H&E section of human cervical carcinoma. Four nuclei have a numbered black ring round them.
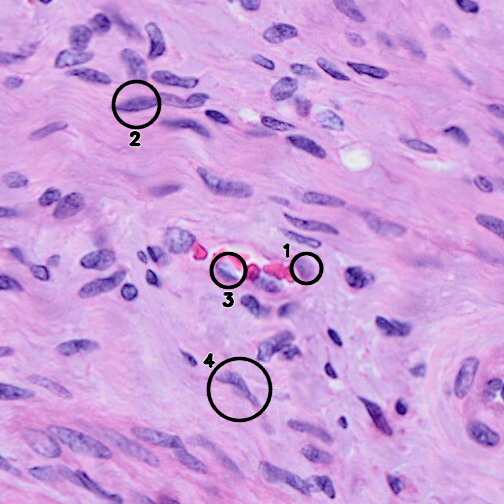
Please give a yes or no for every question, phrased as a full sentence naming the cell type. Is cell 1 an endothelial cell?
Yes, the marked cell number 1 is an endothelial cell.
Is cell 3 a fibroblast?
No, cell 3 is classified as an endothelial cell rather than a fibroblast.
